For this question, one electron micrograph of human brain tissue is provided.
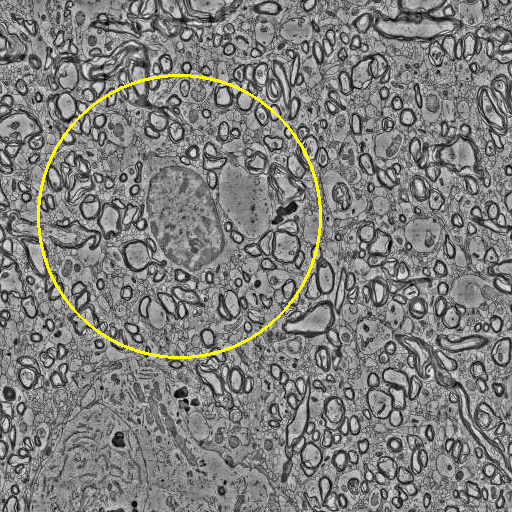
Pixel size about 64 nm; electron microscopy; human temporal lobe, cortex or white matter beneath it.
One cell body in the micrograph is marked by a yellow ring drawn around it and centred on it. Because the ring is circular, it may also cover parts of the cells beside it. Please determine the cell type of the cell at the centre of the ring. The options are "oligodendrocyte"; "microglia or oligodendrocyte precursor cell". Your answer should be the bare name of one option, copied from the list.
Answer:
oligodendrocyte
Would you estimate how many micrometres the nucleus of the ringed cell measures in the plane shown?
The nucleus is about 7 micrometres in length and 4 in width, clearly longer than it is wide in this plane.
